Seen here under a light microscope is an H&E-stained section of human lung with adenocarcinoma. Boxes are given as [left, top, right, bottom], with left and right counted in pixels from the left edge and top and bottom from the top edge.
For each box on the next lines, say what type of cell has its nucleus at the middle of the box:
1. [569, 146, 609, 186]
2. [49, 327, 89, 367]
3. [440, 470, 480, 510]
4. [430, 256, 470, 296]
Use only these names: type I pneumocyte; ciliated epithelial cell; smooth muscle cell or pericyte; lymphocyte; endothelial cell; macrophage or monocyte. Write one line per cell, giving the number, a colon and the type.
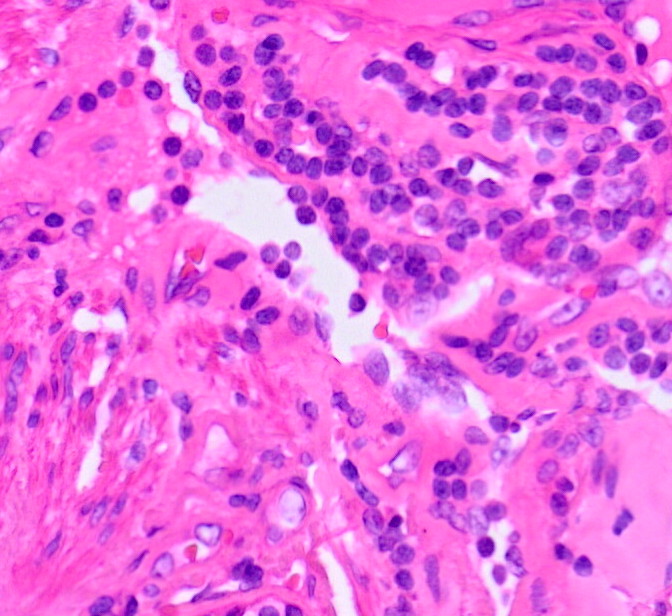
1: lymphocyte
2: smooth muscle cell or pericyte
3: lymphocyte
4: lymphocyte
